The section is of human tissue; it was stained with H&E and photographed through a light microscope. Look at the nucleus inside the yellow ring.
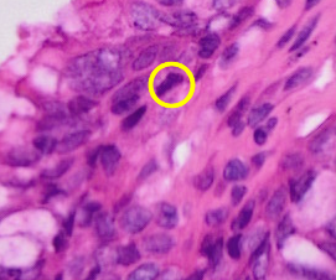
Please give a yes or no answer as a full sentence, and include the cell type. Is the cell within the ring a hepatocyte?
No, it is not as a hepatocyte but as a ciliated epithelial cell that the cell within the ring is classed.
